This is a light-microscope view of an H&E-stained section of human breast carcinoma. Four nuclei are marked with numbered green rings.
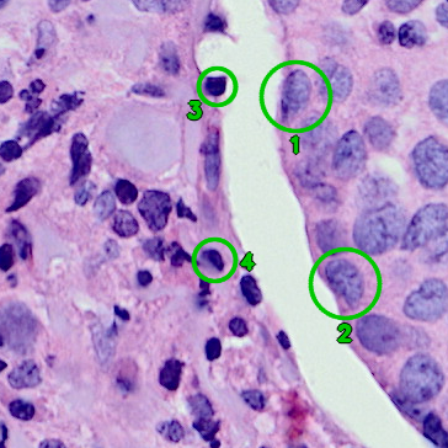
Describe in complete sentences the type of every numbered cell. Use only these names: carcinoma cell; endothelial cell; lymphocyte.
Cells 1 and 2 are carcinoma cells. Cells 3 and 4 are lymphocytes.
